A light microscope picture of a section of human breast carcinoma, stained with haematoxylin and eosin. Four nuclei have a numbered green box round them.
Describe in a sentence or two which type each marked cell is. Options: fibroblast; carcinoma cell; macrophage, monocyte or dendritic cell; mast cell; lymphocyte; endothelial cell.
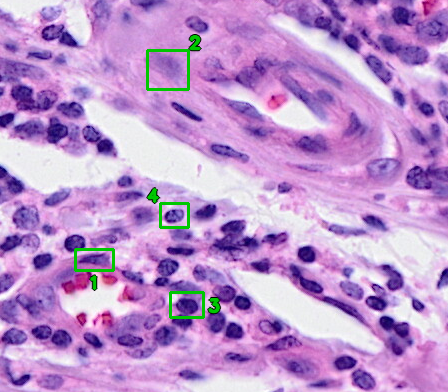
Cell 1 is an endothelial cell, cell 2 is a fibroblast, cell 3 is a lymphocyte and cell 4 is a lymphocyte.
